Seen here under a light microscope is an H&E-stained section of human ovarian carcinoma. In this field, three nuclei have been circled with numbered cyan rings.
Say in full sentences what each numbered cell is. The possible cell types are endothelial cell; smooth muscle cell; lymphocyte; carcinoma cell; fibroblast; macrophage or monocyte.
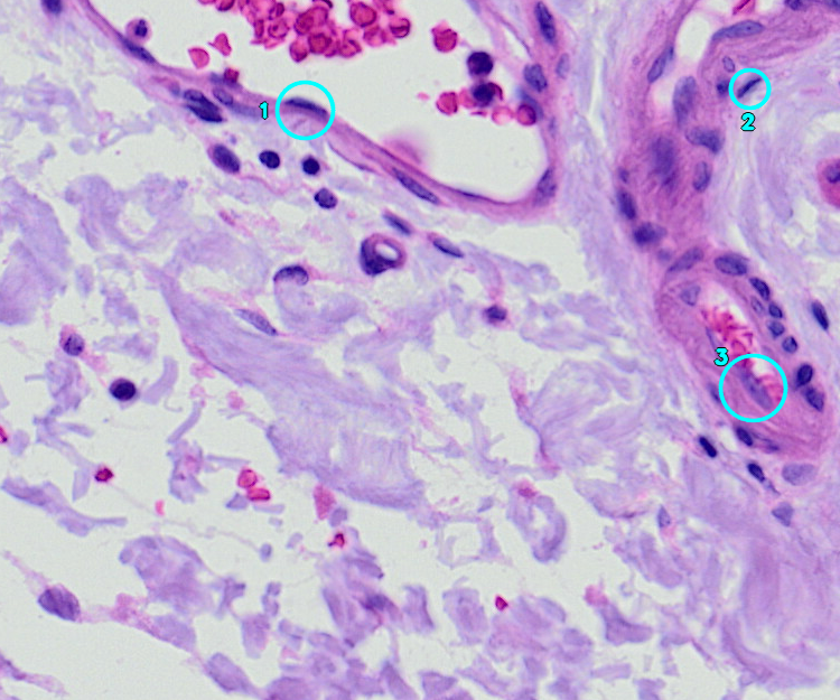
Cell 1 is an endothelial cell, cell 2 is a fibroblast and cell 3 is an endothelial cell.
